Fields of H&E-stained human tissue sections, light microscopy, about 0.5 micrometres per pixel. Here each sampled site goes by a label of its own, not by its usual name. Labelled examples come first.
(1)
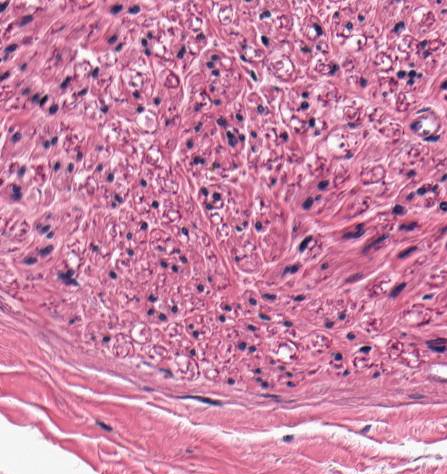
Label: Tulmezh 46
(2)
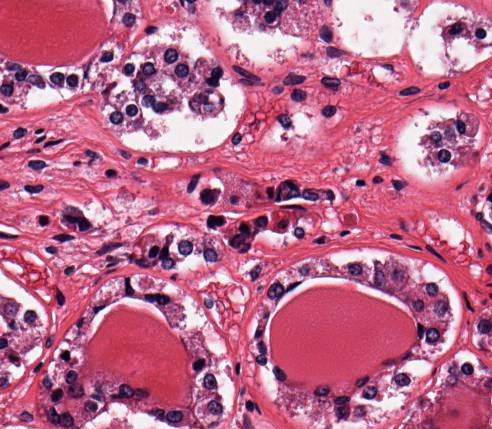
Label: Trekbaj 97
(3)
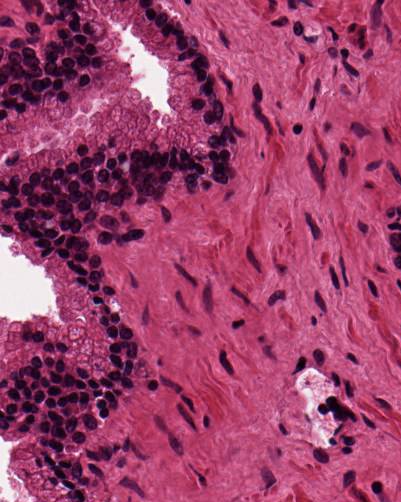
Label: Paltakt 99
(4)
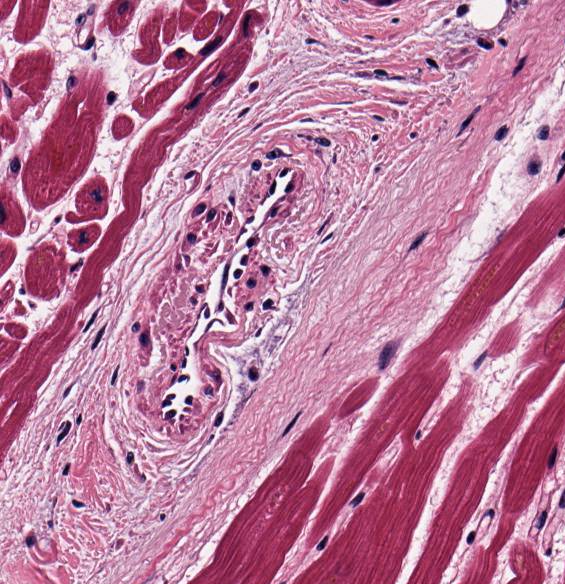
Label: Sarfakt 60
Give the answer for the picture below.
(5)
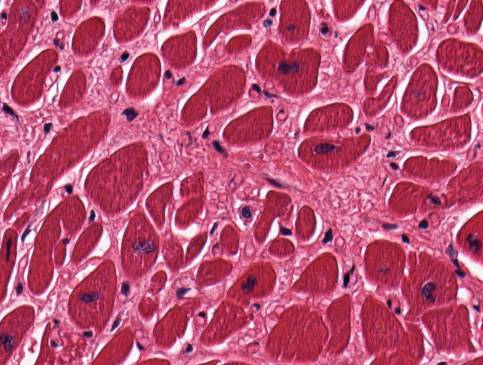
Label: Sarfakt 60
